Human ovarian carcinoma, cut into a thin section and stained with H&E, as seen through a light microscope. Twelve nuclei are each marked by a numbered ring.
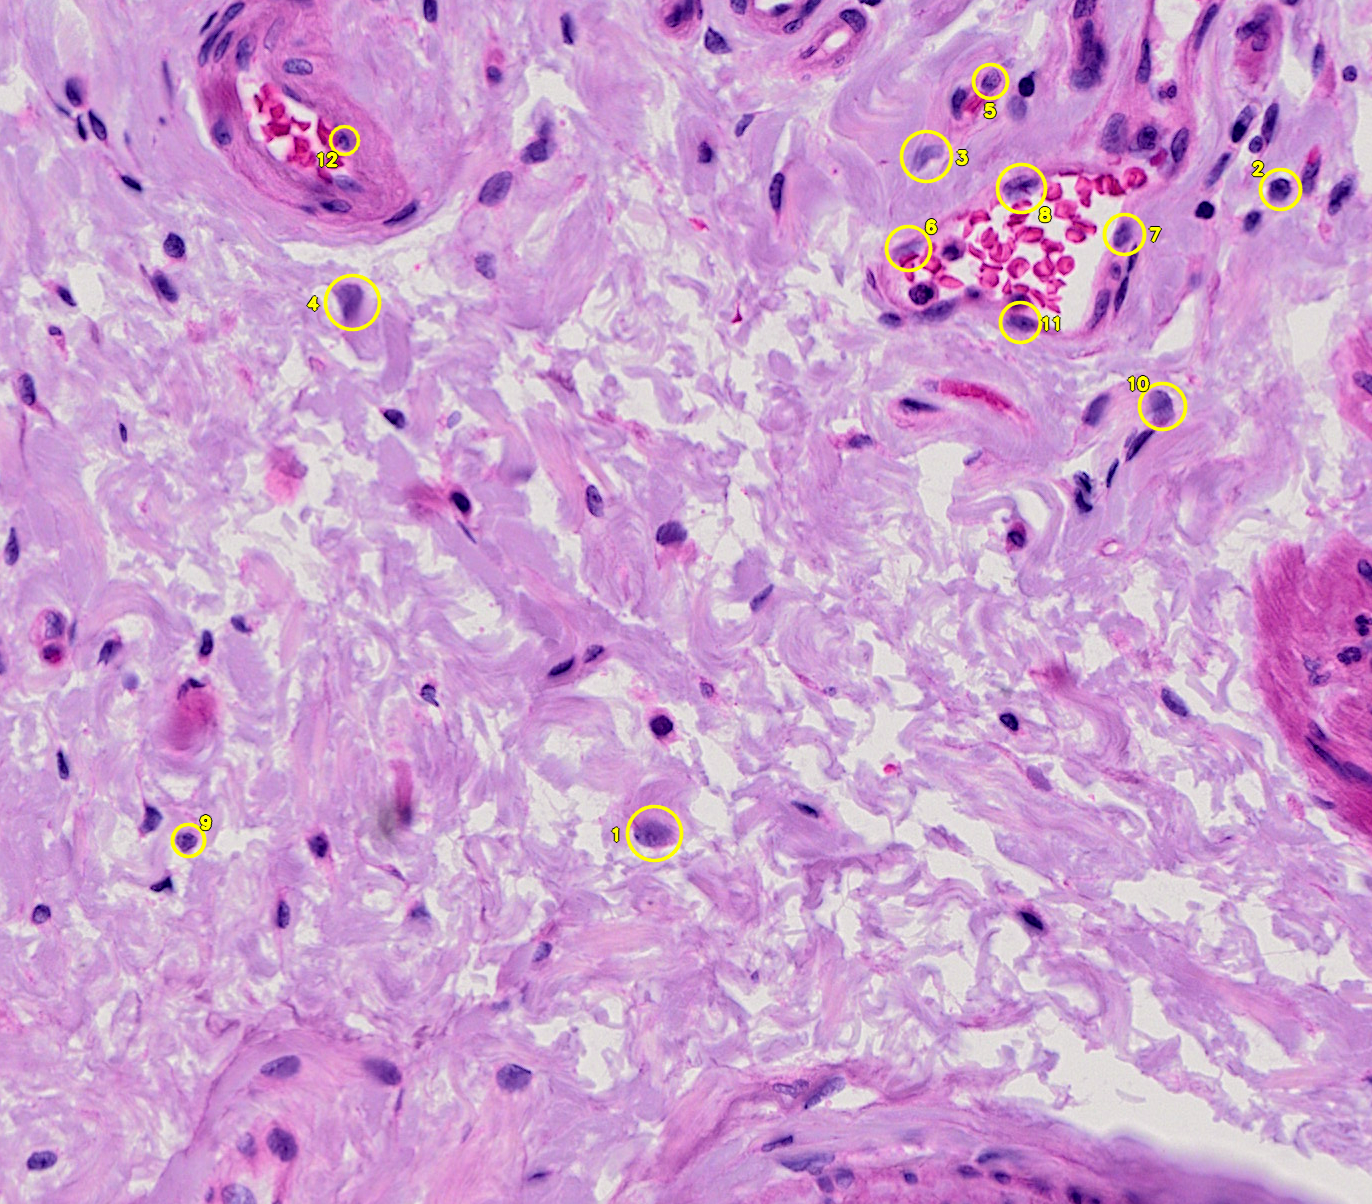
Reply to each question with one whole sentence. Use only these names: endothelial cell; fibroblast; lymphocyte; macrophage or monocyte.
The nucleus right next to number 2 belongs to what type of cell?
It is an endothelial cell whose nucleus is nearest to number 2.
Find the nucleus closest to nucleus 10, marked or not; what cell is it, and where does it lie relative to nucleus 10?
Just below and to the left of nucleus 10 lies the nearest nucleus, which belongs to a fibroblast.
